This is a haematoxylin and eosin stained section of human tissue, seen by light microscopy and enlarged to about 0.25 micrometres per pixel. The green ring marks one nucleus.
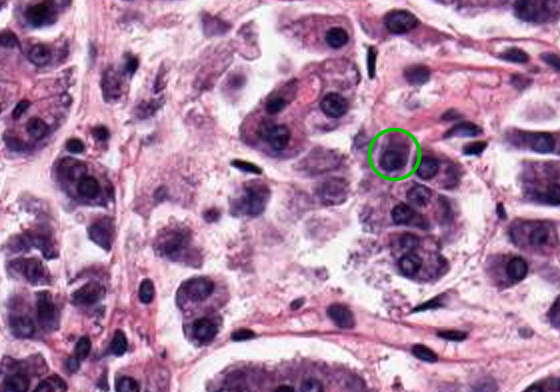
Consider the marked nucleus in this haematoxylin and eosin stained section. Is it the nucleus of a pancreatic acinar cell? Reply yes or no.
yes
